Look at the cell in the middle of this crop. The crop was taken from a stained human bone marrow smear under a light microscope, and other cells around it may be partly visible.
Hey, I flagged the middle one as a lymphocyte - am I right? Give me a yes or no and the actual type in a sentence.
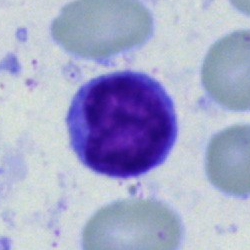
Yes, the cell at the centre of this crop is identified as a lymphocyte.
